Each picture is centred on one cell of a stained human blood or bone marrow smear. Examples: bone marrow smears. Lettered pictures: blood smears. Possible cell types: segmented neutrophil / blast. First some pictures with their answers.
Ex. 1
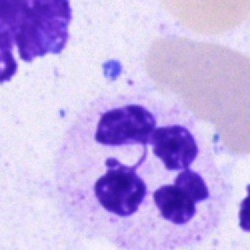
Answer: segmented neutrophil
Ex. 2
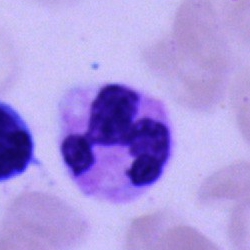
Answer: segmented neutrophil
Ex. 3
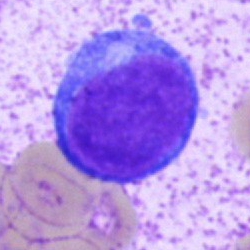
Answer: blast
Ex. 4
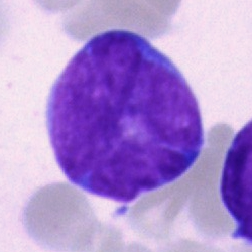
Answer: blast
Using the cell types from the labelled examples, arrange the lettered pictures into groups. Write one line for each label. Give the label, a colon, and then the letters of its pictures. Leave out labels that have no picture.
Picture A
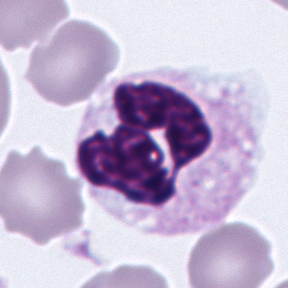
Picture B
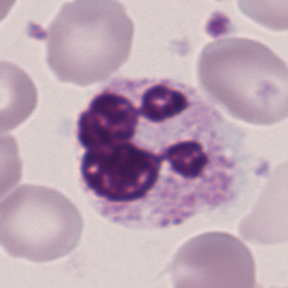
segmented neutrophil: A, B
